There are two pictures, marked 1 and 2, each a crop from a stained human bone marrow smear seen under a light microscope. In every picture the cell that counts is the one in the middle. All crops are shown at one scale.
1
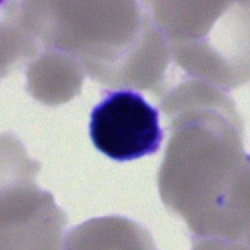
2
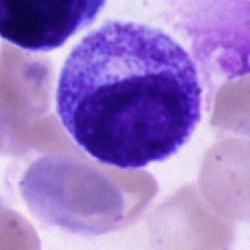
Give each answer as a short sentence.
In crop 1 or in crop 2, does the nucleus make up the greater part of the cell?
In crop 1 the nucleus takes up the larger part of its cell.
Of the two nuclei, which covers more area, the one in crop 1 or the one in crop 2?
The nucleus in crop 2 is larger, with about 2.5 times the area of the one in crop 1.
